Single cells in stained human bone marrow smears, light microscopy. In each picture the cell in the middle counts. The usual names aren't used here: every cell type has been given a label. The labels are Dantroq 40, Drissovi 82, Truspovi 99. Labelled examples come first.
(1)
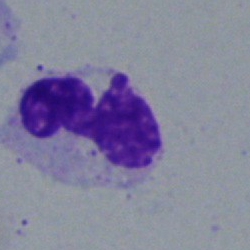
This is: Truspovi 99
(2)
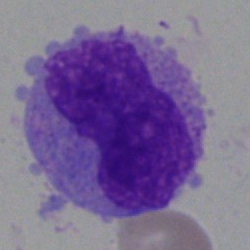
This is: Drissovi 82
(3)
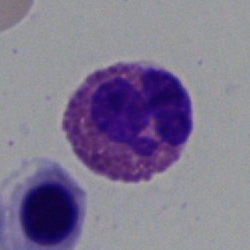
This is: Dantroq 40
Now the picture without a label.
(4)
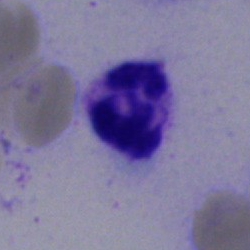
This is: Truspovi 99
